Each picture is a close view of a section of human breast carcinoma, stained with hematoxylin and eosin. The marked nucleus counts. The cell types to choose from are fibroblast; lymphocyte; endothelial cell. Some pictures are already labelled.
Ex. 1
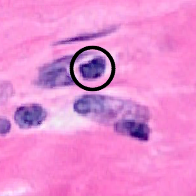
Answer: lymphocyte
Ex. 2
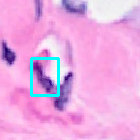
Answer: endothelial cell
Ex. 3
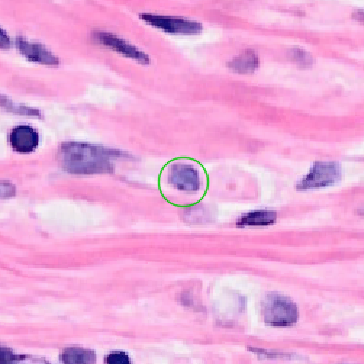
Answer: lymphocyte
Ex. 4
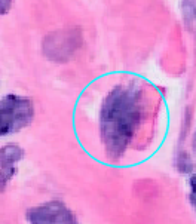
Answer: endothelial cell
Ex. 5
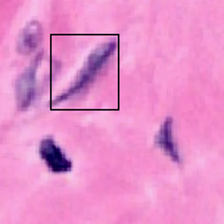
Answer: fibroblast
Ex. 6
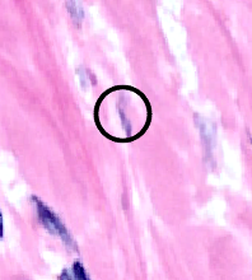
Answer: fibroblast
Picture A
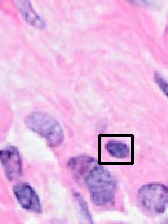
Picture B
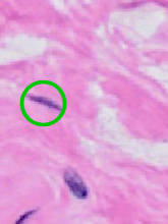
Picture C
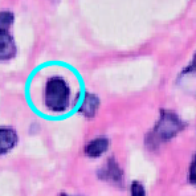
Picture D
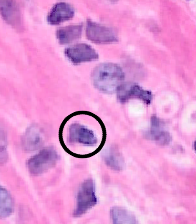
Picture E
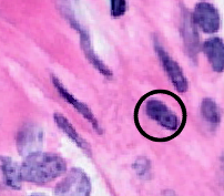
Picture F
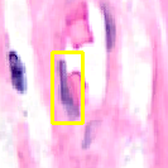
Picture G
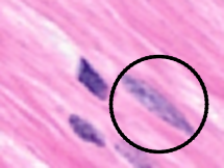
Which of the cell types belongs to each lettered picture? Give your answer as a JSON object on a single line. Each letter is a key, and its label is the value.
{"A": "lymphocyte", "B": "fibroblast", "C": "lymphocyte", "D": "lymphocyte", "E": "lymphocyte", "F": "endothelial cell", "G": "fibroblast"}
